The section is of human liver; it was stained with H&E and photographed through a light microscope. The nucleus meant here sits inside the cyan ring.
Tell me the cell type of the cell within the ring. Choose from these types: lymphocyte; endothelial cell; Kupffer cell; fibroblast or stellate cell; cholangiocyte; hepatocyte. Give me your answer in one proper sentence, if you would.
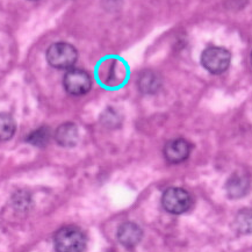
Cytologically, the cell within the ring is to be regarded as a fibroblast or stellate cell.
